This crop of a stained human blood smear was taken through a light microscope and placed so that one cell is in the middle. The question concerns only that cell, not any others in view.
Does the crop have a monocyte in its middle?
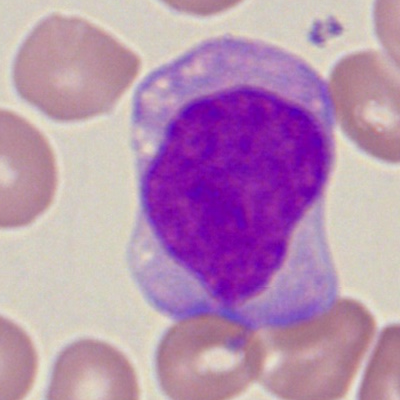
yes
